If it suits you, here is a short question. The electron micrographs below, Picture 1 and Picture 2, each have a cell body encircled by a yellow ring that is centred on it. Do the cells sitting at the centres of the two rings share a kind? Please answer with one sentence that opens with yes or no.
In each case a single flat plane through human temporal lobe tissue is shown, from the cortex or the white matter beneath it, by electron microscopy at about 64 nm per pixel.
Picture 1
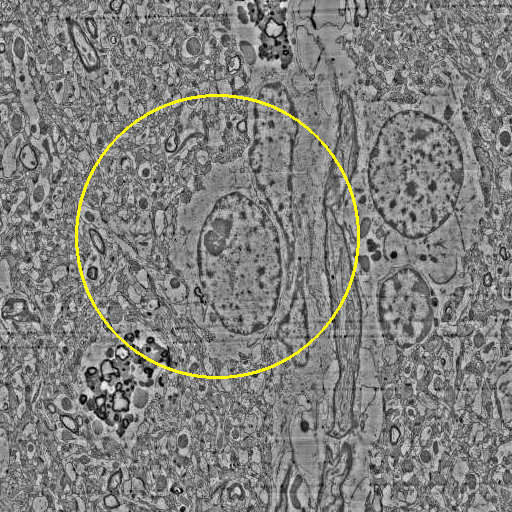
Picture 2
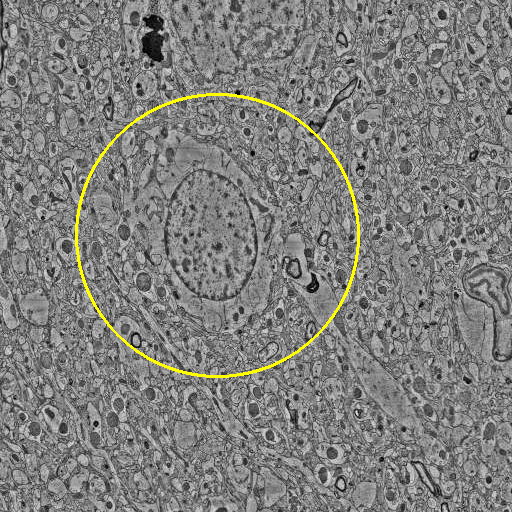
Yes, the two cells sitting at the ring centres share a single kind.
